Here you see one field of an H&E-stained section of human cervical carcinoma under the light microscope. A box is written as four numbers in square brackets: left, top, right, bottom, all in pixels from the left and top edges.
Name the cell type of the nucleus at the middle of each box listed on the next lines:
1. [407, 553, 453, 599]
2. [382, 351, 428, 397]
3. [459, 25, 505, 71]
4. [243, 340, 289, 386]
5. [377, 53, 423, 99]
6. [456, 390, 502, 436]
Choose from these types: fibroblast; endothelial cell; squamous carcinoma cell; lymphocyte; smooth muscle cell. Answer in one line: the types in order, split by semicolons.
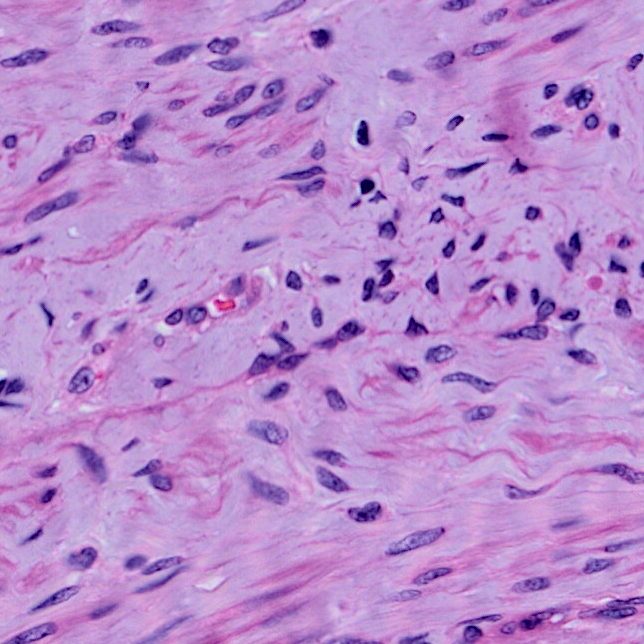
smooth muscle cell; smooth muscle cell; smooth muscle cell; endothelial cell; fibroblast; smooth muscle cell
